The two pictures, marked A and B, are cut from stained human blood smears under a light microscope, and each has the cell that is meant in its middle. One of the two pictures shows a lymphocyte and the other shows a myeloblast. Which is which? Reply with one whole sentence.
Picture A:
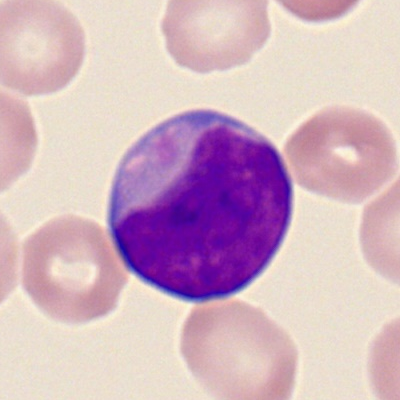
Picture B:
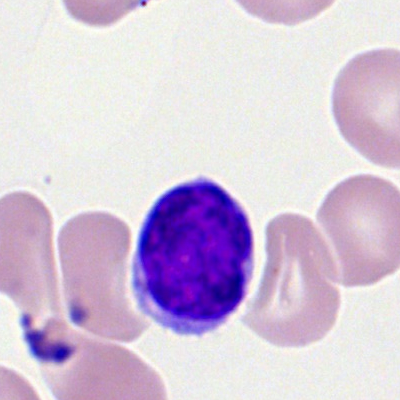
The cell in picture A is a myeloblast, and the one in picture B is a lymphocyte.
